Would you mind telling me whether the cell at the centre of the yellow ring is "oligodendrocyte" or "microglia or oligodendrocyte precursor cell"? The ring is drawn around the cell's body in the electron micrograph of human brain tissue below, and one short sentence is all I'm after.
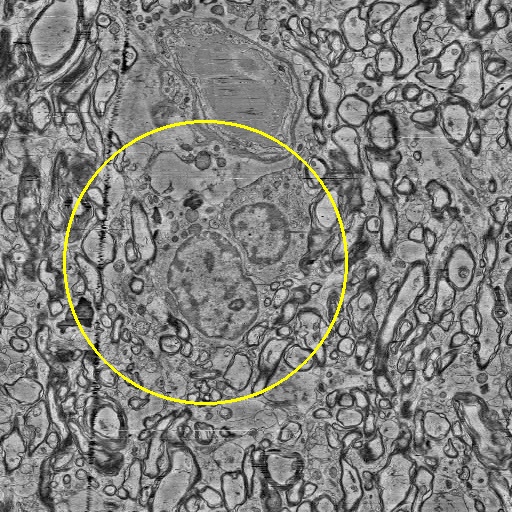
In the centre of the ring lies an oligodendrocyte.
